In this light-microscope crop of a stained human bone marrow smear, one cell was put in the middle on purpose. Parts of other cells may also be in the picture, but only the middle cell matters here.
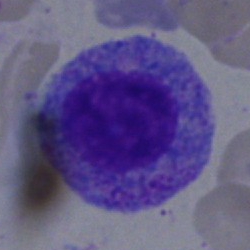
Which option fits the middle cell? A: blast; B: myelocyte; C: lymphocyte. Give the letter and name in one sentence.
Of the choices given, option B is right, as the central cell is a myelocyte.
